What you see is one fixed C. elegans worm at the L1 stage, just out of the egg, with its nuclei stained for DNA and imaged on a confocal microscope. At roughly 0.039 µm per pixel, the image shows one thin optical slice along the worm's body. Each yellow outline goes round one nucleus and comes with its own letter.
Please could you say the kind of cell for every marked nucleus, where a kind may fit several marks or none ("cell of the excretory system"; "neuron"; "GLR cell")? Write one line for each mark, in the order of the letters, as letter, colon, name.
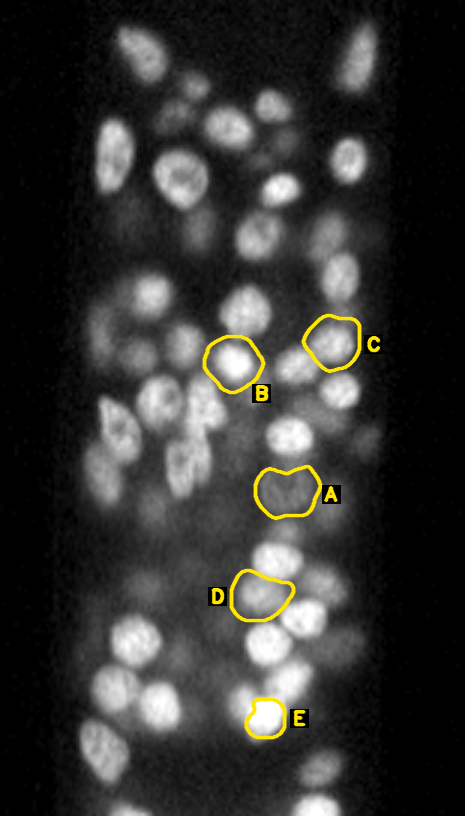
A: cell of the excretory system
B: neuron
C: neuron
D: neuron
E: GLR cell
